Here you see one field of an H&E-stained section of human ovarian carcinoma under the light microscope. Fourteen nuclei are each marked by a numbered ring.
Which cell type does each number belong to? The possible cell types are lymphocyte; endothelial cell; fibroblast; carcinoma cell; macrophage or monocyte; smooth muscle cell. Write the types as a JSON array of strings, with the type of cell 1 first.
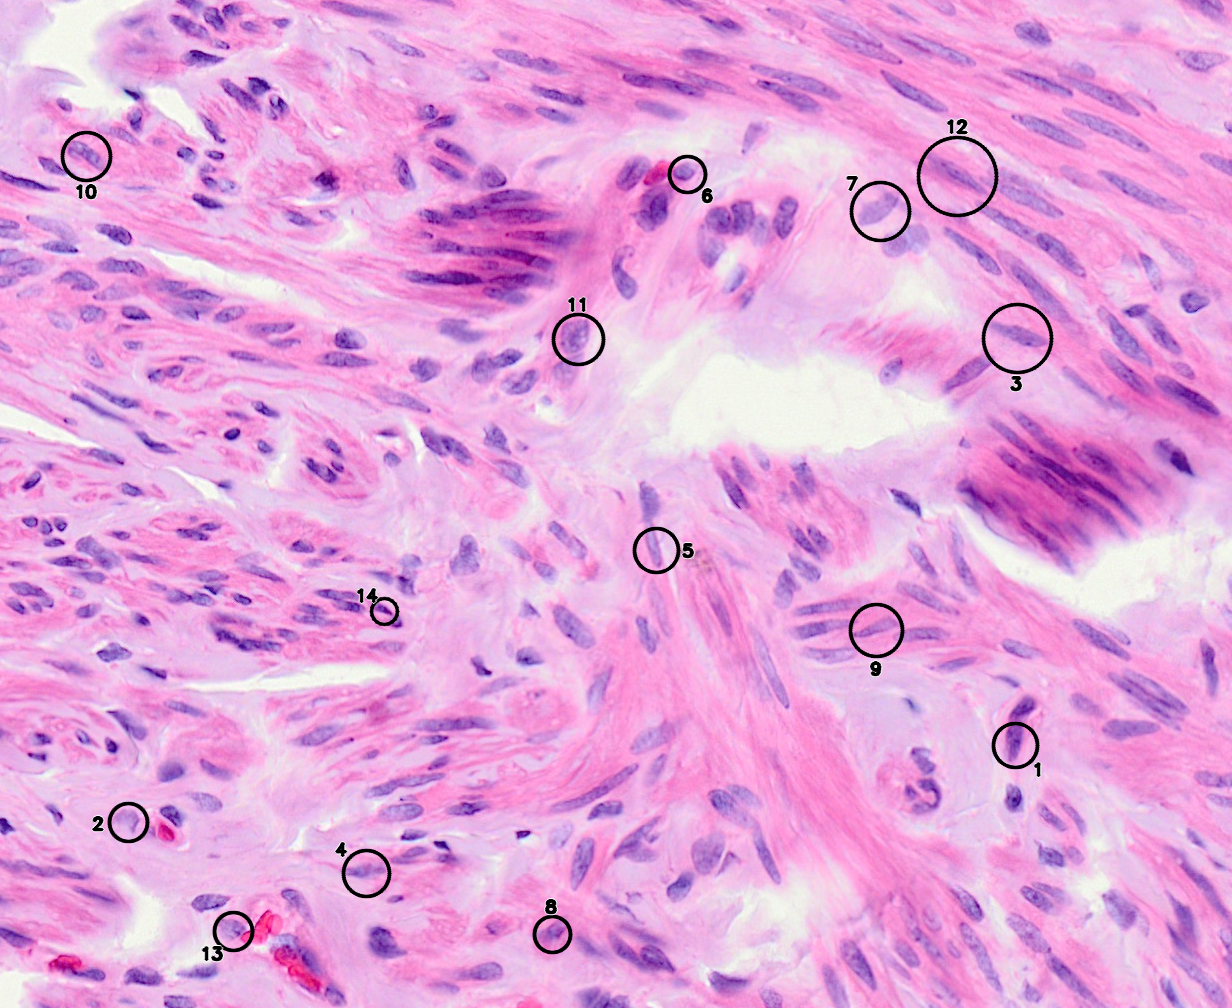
["endothelial cell", "fibroblast", "smooth muscle cell", "smooth muscle cell", "smooth muscle cell", "endothelial cell", "fibroblast", "smooth muscle cell", "smooth muscle cell", "smooth muscle cell", "endothelial cell", "smooth muscle cell", "endothelial cell", "smooth muscle cell"]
